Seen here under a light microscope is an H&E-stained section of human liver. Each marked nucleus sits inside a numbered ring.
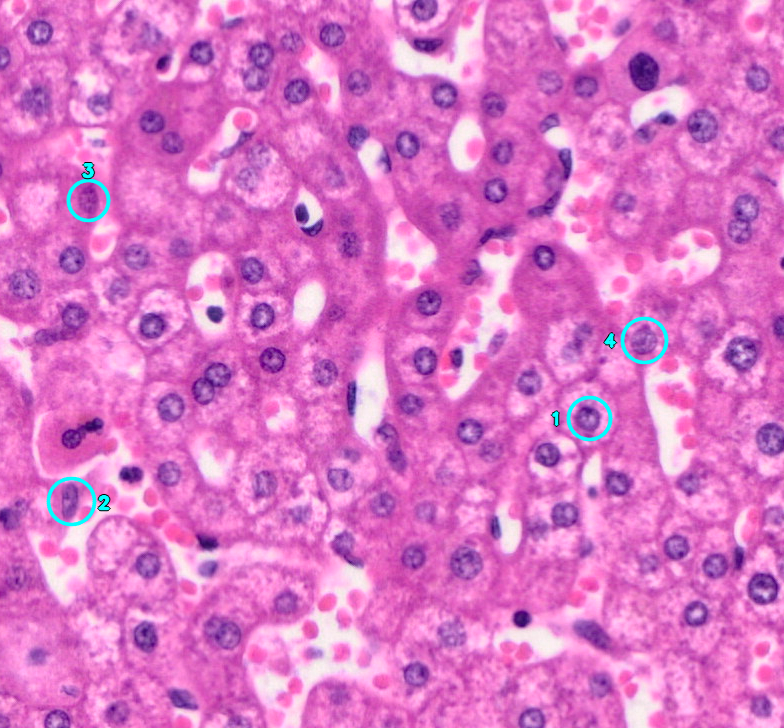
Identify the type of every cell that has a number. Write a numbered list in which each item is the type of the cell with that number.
1. hepatocyte
2. Kupffer cell
3. hepatocyte
4. hepatocyte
